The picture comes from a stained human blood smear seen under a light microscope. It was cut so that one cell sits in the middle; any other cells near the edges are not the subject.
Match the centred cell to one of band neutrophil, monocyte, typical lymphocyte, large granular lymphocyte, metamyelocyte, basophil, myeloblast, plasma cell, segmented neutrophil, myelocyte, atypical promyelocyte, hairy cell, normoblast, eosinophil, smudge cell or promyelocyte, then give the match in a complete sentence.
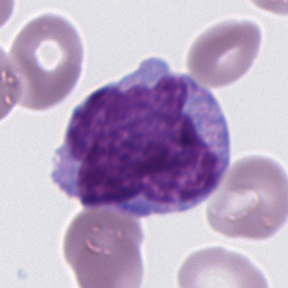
In the middle of this smear crop, the cell is an atypical promyelocyte.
